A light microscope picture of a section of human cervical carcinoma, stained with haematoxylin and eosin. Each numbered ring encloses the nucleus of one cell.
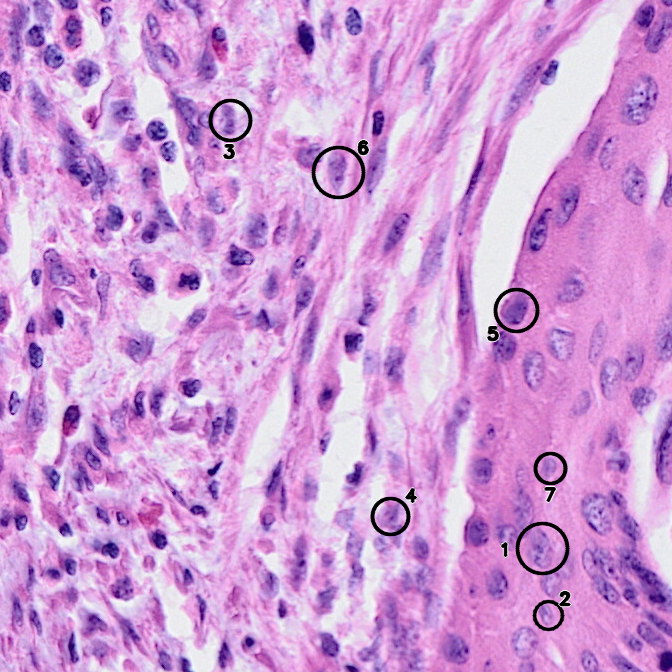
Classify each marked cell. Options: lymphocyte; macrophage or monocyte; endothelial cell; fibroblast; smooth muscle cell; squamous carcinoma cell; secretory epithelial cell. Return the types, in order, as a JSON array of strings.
["squamous carcinoma cell", "squamous carcinoma cell", "fibroblast", "fibroblast", "squamous carcinoma cell", "fibroblast", "squamous carcinoma cell"]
